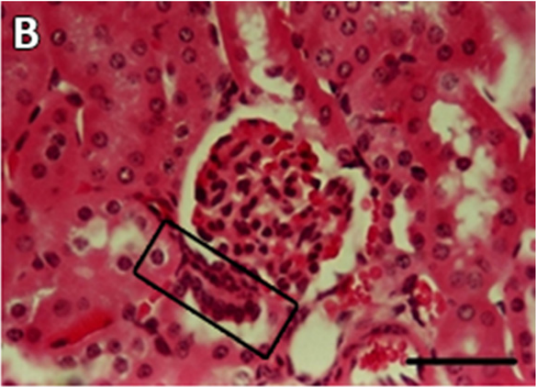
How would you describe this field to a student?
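In this kidney section, a rounded tuft of densely packed nuclei sits inside a clear space bordered by a thin capsule, surrounded by tubules lined by cuboidal cells with round nuclei and pink cytoplasm. Beside the tuft, a row of closely crowded, dark, elongated nuclei lines the wall of an adjoining tubule. This is a renal corpuscle, and the crowded cells beside it form the macula densa.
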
